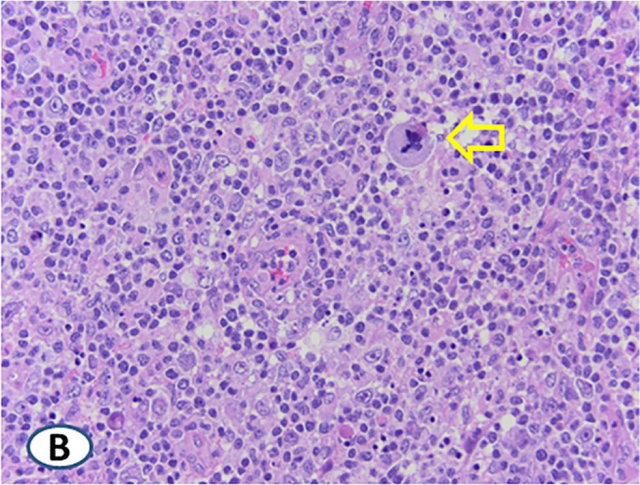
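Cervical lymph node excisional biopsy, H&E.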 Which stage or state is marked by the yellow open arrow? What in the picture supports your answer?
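The arrow points at a cell with clumped, dark, condensed chromosomes.
Conclusion: mitoses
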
